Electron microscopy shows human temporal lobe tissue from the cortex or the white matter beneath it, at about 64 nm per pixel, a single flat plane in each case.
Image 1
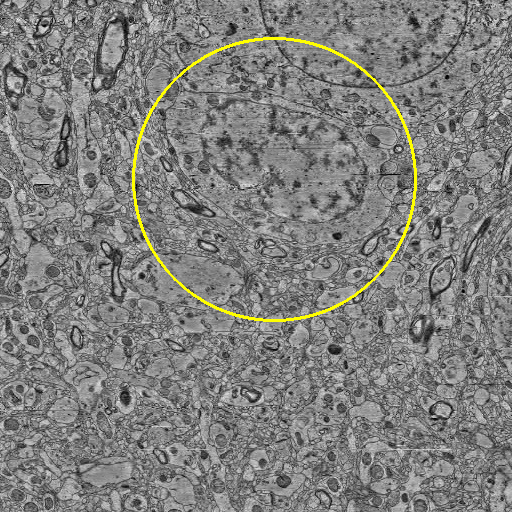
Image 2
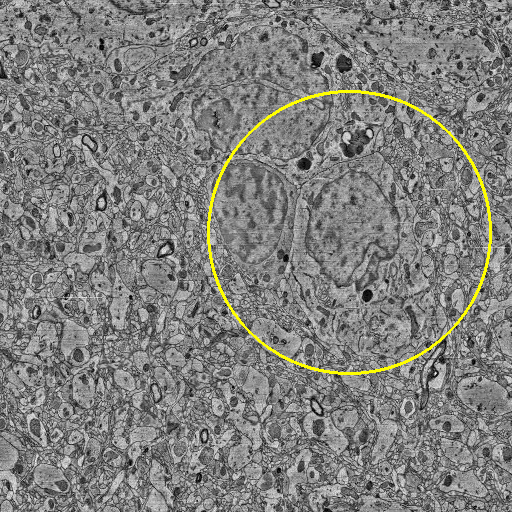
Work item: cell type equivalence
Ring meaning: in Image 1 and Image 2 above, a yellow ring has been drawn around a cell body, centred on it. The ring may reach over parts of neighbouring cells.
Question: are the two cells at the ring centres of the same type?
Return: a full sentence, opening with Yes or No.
Yes, the two centred cells are of the same type.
